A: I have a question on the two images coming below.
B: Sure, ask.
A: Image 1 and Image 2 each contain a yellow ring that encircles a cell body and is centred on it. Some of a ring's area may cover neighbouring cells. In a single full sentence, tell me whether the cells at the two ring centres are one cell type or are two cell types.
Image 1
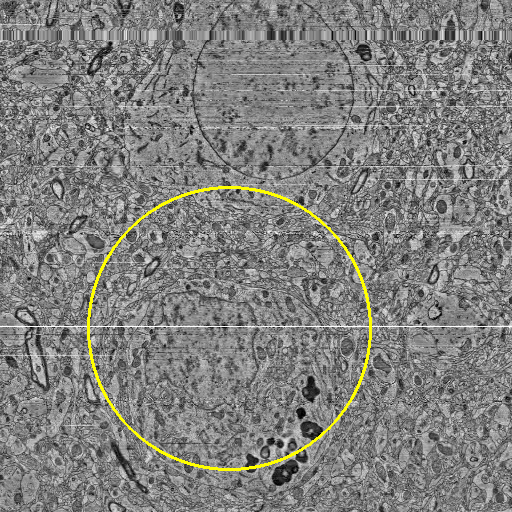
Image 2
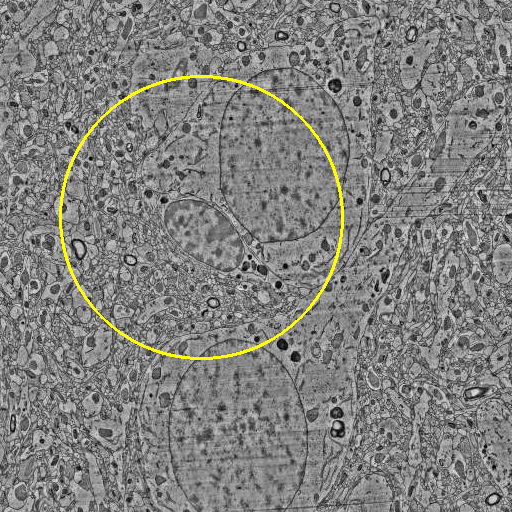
As for the ring-centre cells, the one in Image 1 and the one in Image 2 are two cell types.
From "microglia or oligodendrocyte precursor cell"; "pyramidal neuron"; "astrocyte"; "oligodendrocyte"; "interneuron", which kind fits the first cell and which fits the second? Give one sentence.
The cell marked in the first picture is an interneuron, and the one marked in the second is a microglial cell or oligodendrocyte precursor cell.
